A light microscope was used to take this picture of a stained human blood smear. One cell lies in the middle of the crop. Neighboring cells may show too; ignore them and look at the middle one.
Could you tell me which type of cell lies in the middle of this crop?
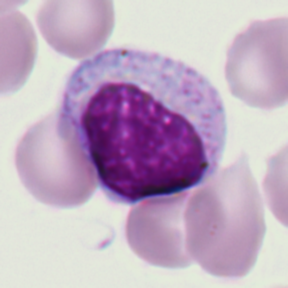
metamyelocyte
